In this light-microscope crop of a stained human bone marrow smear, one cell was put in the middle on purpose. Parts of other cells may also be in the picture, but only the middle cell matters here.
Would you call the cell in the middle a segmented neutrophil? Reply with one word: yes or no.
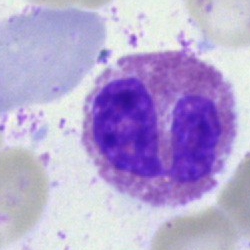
no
